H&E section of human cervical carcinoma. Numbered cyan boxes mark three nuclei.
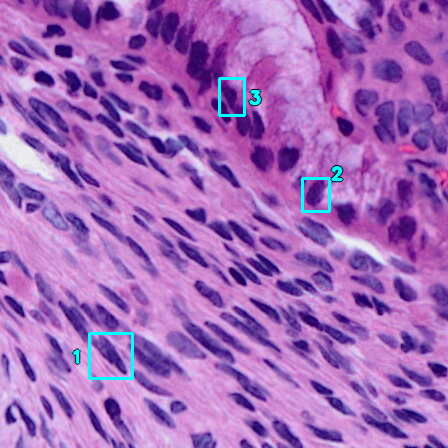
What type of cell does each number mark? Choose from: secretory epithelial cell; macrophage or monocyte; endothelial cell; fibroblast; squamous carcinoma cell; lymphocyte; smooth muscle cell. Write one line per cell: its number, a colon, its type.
1: fibroblast
2: secretory epithelial cell
3: secretory epithelial cell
